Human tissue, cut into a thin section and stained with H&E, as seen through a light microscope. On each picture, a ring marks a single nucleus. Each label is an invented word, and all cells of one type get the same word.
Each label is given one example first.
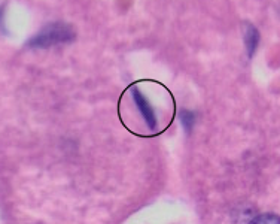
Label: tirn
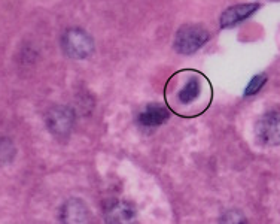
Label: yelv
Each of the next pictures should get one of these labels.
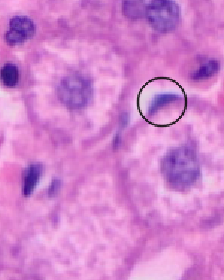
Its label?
tirn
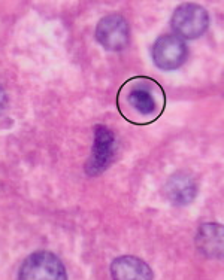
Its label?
yelv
